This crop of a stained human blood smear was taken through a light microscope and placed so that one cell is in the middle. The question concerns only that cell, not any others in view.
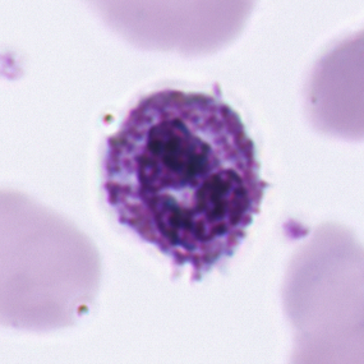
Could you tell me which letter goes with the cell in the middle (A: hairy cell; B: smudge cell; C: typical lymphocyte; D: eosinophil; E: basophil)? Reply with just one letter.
D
